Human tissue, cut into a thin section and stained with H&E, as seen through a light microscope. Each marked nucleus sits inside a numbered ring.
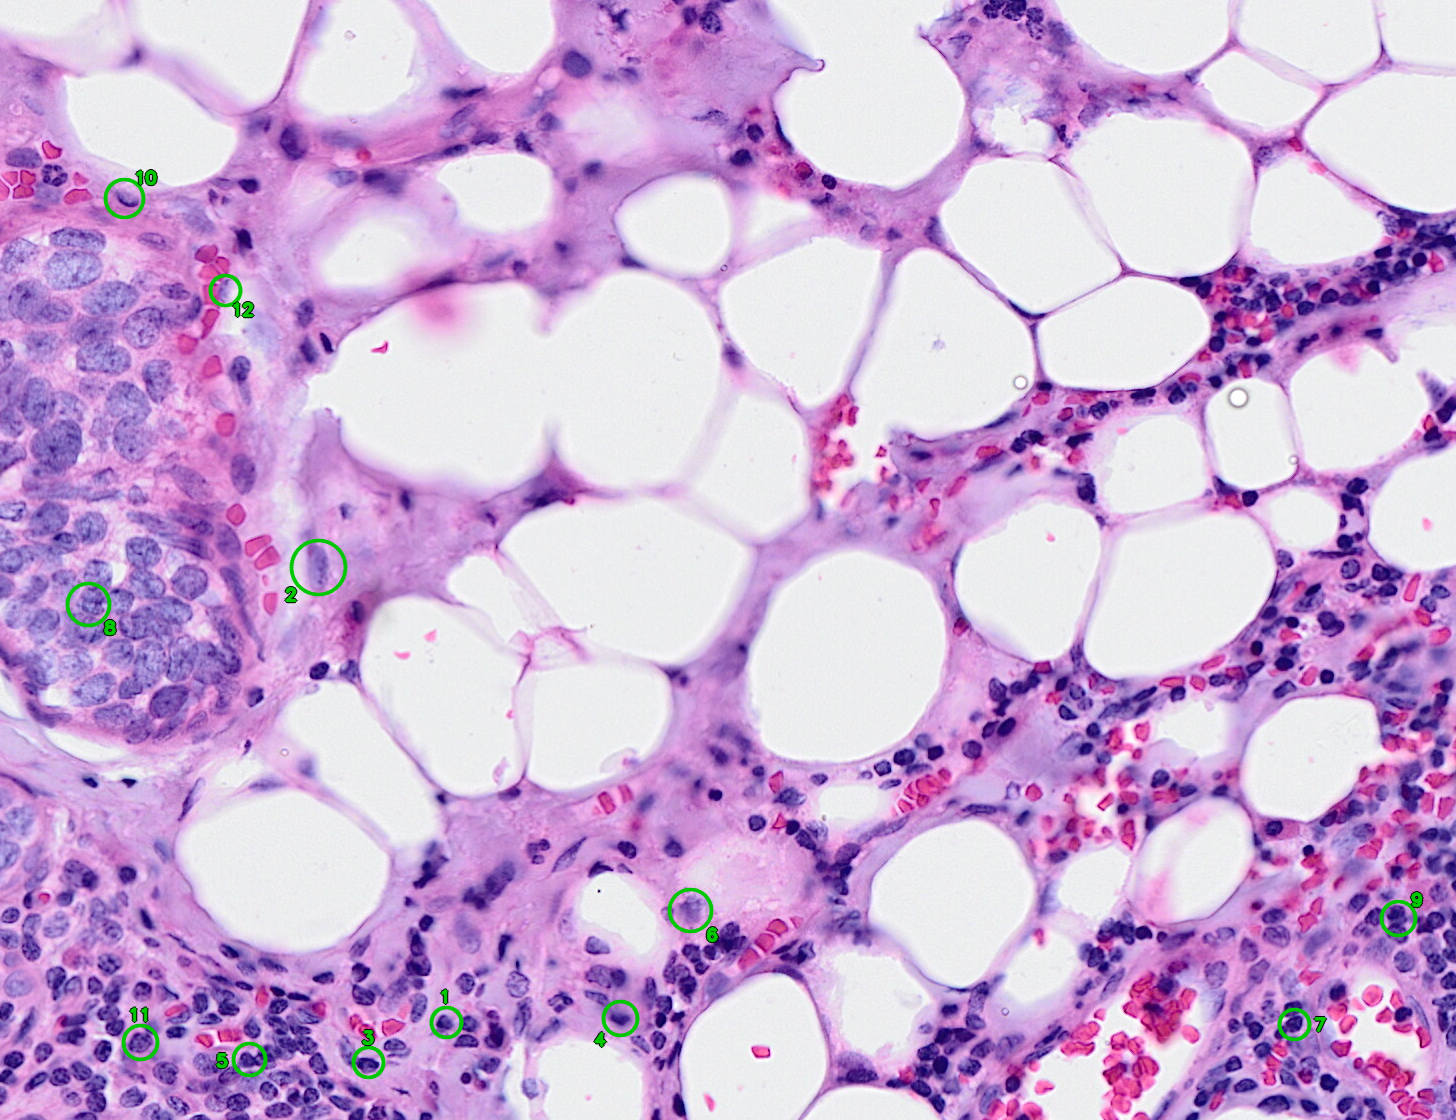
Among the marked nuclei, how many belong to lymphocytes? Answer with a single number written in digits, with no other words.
7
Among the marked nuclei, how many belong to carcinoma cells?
1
